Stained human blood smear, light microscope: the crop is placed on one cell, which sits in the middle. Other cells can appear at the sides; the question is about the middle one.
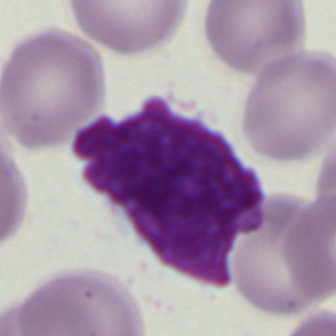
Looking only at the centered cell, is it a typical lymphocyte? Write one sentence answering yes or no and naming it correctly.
No, the cell in the middle is correctly named a smudge cell, not a typical lymphocyte.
